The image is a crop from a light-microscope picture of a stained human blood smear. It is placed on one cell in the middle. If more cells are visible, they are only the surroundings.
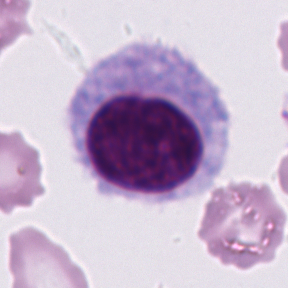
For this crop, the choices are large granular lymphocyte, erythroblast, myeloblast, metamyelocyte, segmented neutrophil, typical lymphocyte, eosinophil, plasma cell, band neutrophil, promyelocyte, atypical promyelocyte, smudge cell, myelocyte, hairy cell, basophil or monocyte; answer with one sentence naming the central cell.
The cell centred in this crop is categorized as a hairy cell.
